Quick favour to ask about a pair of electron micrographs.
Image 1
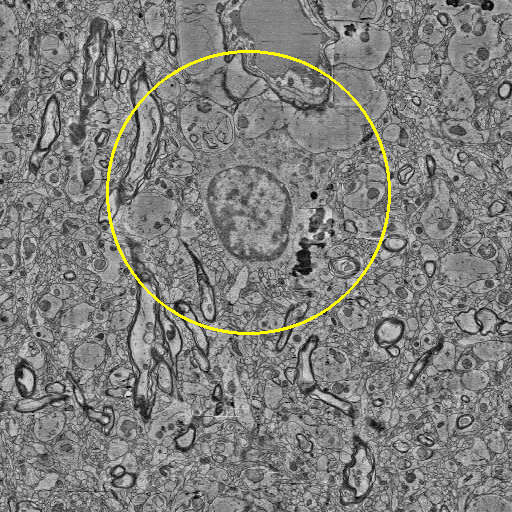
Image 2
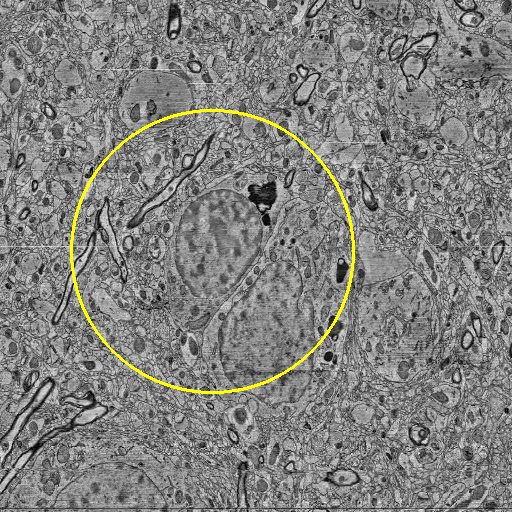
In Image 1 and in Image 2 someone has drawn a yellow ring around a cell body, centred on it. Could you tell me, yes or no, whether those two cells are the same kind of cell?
yes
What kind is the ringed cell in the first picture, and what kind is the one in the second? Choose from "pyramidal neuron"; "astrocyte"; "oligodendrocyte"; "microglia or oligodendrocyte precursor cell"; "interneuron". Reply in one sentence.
In each picture the ringed cell is an oligodendrocyte.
